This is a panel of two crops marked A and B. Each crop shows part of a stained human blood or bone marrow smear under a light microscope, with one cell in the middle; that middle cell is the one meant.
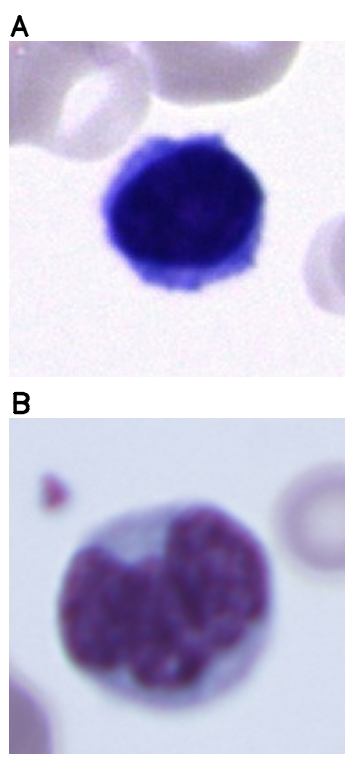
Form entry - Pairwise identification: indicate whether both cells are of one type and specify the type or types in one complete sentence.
No, crop A captures a lymphocyte, and crop B captures a monocyte.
